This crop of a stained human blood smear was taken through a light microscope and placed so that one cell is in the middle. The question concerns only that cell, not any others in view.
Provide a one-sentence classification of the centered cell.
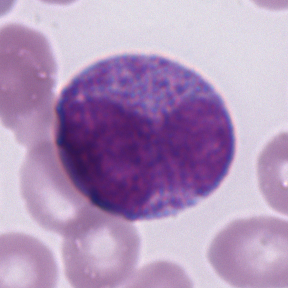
The cell at the middle of the frame should be recorded as a promyelocyte.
